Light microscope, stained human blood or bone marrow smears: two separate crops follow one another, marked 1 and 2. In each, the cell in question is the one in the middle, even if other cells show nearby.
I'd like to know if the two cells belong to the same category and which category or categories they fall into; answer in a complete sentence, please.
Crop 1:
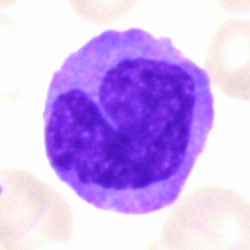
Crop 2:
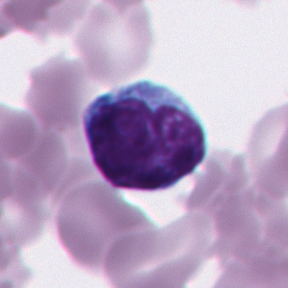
No, record crop 1 as a monocyte and crop 2 as a lymphocyte.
